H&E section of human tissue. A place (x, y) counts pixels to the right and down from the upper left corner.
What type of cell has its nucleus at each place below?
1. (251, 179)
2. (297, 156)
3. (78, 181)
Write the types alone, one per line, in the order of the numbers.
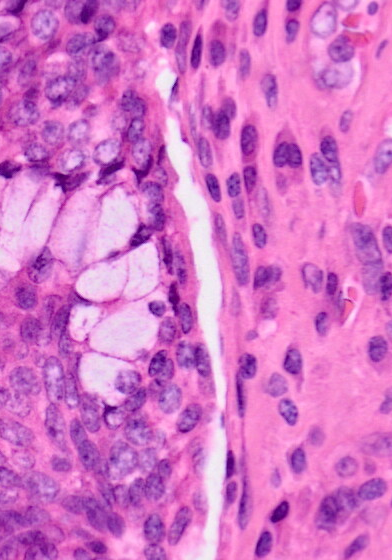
plasma cell
plasma cell
ciliated epithelial cell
